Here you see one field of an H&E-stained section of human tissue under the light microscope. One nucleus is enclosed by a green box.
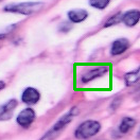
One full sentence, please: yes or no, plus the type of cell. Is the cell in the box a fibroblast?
No, sorry, but the cell in the box is an endothelial cell and not a fibroblast.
